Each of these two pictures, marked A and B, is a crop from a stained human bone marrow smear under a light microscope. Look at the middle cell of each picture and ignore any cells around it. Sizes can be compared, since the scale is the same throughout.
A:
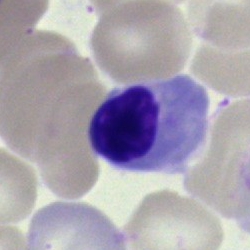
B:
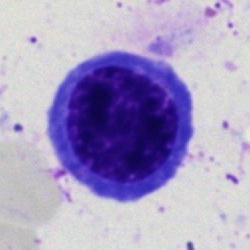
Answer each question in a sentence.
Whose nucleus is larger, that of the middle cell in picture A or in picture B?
Larger is the nucleus in picture B, at roughly 2.5 times the area of the other.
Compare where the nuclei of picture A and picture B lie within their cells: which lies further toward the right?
In picture B the nucleus is shifted more toward the right.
